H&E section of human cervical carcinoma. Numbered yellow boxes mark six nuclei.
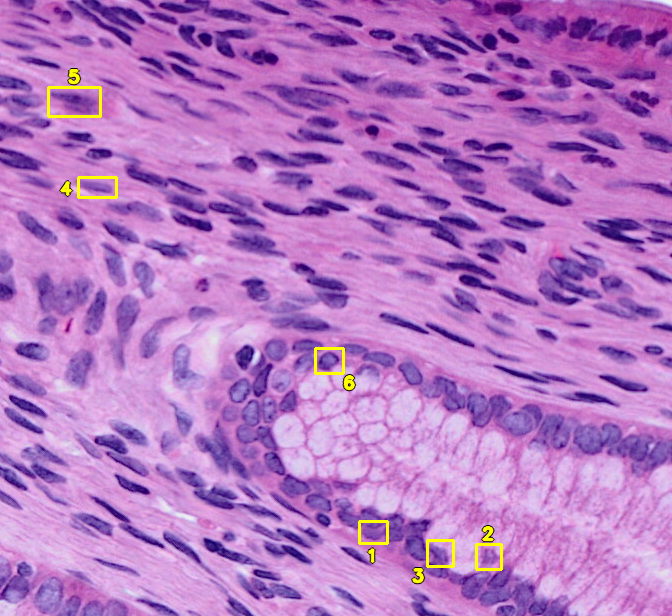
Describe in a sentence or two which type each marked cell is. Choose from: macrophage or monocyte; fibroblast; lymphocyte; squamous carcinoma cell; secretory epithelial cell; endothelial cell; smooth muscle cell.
Cells 1, 2, 3 and 6 are secretory epithelial cells. Cell 4 is a fibroblast. Cell 5 is an endothelial cell.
